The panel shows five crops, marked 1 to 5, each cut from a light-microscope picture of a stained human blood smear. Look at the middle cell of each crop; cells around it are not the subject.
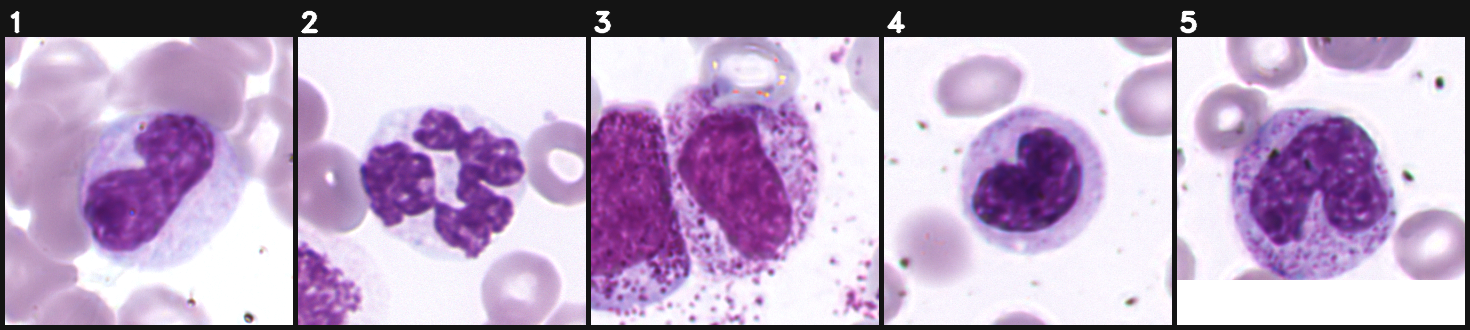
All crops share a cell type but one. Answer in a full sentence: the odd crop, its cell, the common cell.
All crops show band neutrophils except crop 2, which is a segmented neutrophil.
